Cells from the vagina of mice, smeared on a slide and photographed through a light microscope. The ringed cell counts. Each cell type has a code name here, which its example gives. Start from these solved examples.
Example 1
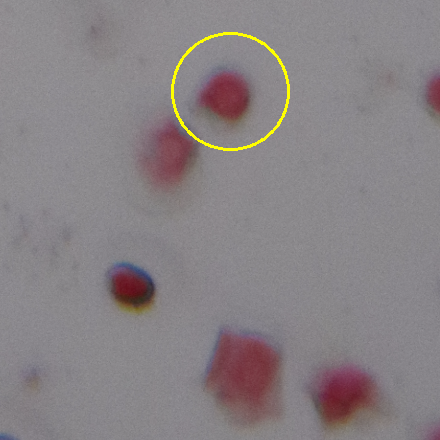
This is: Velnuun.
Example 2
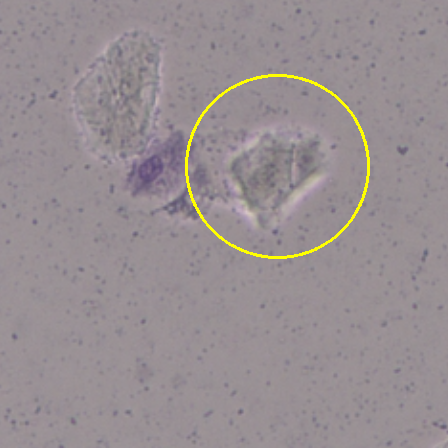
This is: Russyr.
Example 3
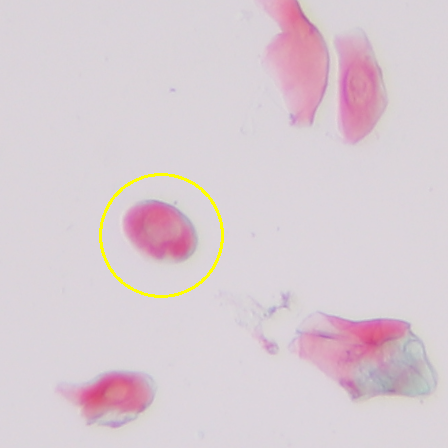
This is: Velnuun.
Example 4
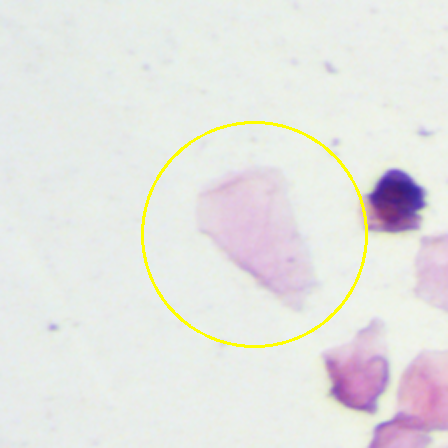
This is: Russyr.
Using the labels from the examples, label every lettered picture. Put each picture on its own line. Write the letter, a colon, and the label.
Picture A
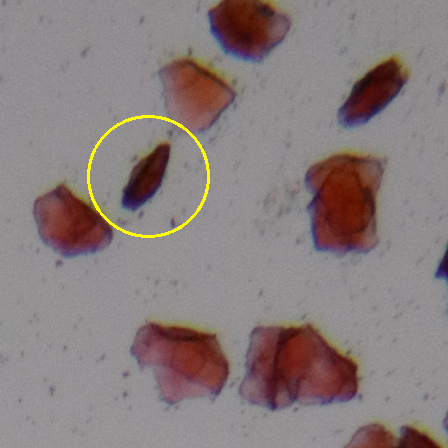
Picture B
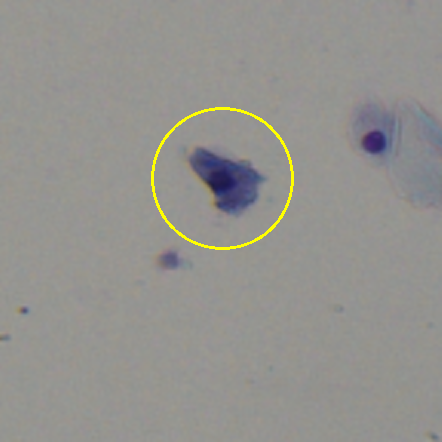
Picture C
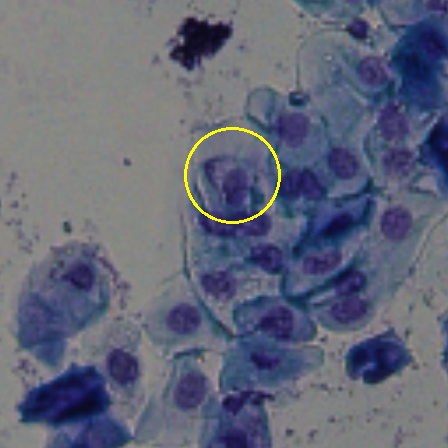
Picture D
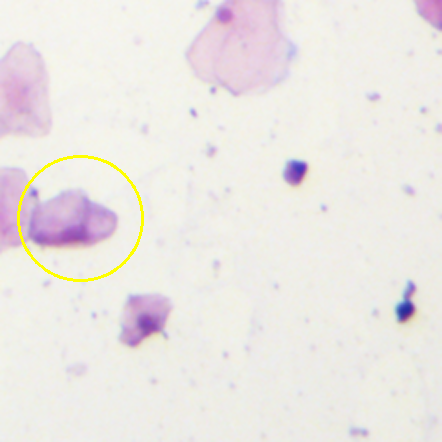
A: Russyr.
B: Velnuun.
C: Velnuun.
D: Russyr.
